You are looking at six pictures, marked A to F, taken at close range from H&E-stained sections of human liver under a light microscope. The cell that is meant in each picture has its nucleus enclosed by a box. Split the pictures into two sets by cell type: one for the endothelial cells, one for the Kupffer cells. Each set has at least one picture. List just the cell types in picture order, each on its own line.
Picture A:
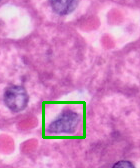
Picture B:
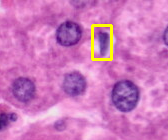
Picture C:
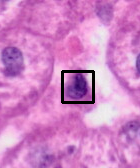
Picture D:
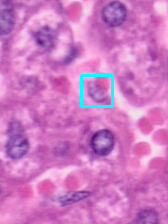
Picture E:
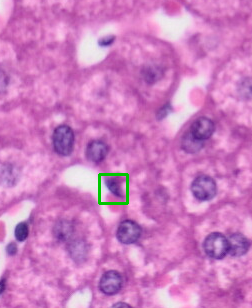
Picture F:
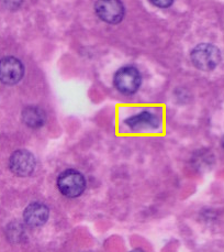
Kupffer cell
endothelial cell
Kupffer cell
Kupffer cell
endothelial cell
endothelial cell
